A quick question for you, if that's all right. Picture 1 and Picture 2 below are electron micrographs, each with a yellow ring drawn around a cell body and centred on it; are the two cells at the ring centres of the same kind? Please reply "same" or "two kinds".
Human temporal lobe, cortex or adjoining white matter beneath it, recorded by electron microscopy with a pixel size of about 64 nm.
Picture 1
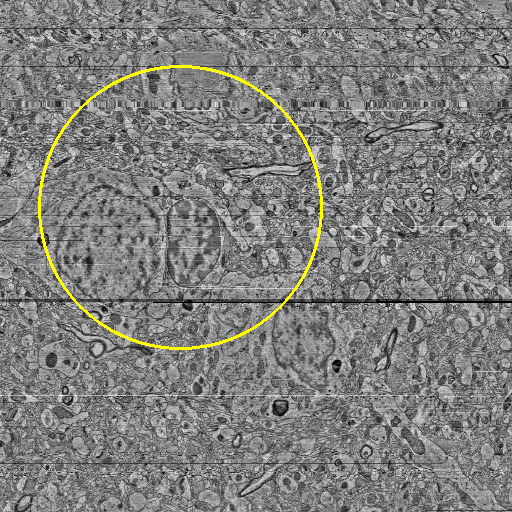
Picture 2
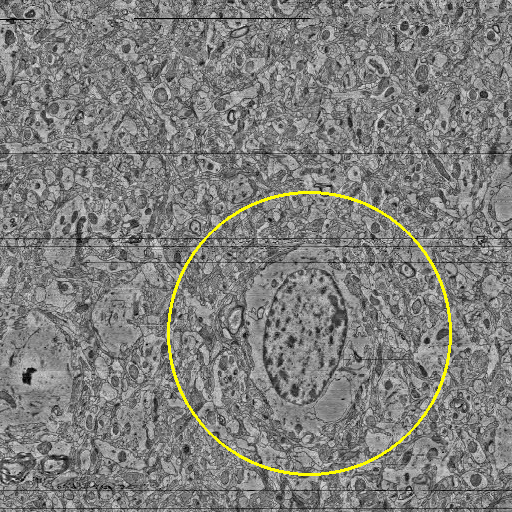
two kinds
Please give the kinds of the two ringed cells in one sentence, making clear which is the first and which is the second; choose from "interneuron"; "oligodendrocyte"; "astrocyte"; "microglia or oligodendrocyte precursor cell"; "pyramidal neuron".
In the second picture the ringed cell is an astrocyte; in the first it is a microglial cell or oligodendrocyte precursor cell.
